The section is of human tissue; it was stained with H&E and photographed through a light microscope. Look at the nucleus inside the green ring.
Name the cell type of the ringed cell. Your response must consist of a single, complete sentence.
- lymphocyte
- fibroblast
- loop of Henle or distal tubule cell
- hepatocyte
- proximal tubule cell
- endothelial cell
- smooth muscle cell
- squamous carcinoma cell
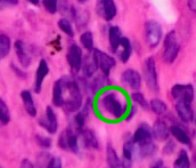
Placed in its cell category, the ringed cell is a lymphocyte.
